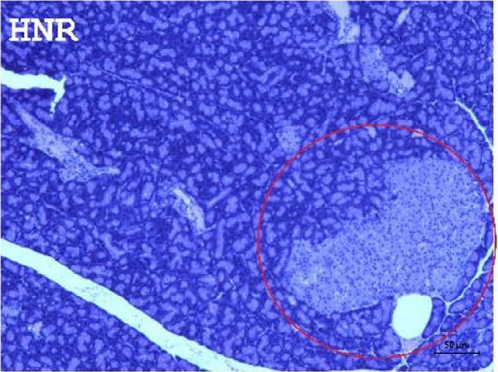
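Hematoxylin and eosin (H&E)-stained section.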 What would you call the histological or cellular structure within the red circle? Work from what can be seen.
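The surrounding tissue is darkly stained acini arranged in small clusters. The pale region lacks the acinar lobular pattern. The answer: islets of Langerhans.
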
